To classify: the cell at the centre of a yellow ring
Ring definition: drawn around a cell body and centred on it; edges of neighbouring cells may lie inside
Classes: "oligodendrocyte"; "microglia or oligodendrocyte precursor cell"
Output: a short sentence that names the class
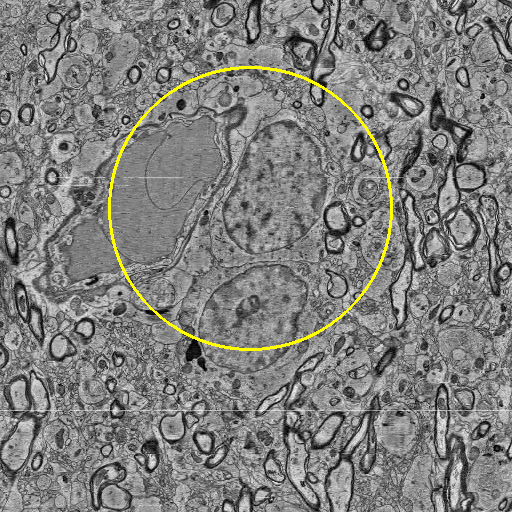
The ringed cell is a microglial cell or oligodendrocyte precursor cell.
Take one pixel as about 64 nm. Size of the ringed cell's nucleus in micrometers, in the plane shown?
Roughly 9 by 6 micrometers, clearly longer than it is wide in this plane.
